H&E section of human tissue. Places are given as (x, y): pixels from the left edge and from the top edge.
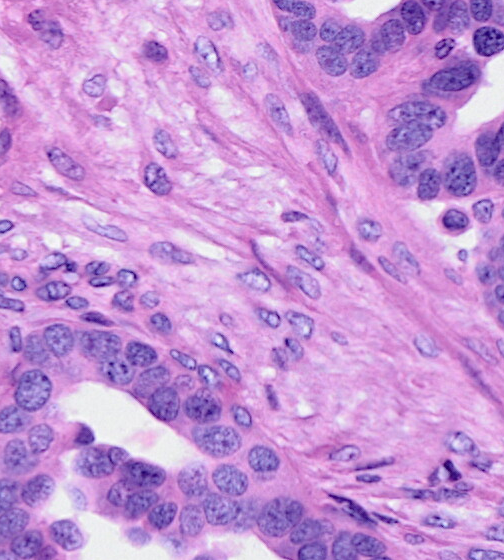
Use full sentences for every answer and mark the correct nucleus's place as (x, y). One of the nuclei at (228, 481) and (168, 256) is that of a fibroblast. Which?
Only the nucleus at (168, 256), of the two, belongs to a fibroblast.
